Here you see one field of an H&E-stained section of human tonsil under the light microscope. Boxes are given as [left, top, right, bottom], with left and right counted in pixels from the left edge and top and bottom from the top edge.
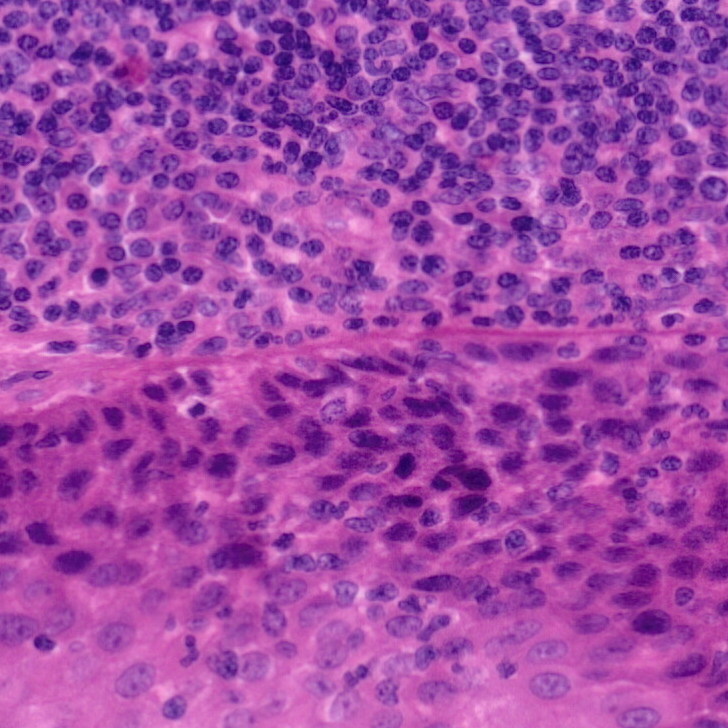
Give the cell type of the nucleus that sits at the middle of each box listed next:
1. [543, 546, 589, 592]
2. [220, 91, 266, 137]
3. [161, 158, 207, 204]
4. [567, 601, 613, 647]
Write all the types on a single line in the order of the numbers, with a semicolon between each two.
squamous epithelial cell; small lymphocyte; plasma cell; squamous epithelial cell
